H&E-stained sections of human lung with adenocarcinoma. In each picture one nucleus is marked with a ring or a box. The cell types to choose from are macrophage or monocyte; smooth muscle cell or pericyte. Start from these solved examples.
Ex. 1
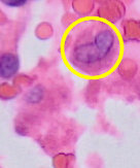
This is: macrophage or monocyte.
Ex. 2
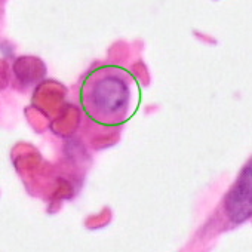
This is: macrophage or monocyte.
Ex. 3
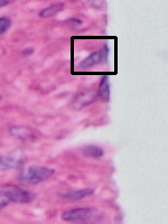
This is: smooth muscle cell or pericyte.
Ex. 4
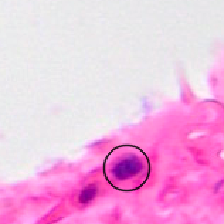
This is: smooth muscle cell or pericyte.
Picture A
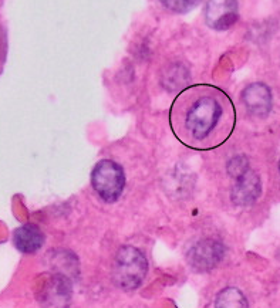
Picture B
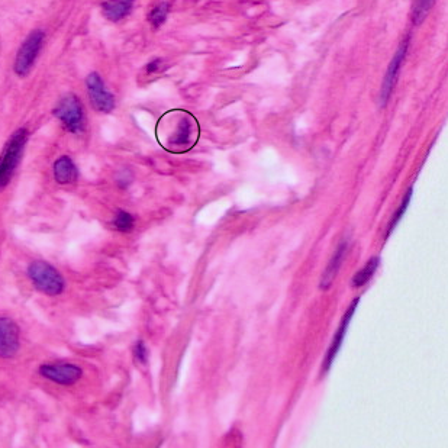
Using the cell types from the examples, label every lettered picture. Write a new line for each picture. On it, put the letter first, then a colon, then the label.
A: macrophage or monocyte.
B: smooth muscle cell or pericyte.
